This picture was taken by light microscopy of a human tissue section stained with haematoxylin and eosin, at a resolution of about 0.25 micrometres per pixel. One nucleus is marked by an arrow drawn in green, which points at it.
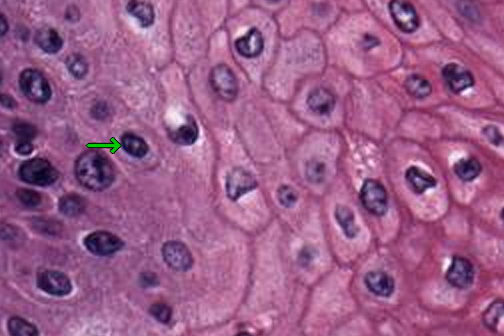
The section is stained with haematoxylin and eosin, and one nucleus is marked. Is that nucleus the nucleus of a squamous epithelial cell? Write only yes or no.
yes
